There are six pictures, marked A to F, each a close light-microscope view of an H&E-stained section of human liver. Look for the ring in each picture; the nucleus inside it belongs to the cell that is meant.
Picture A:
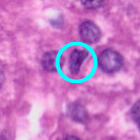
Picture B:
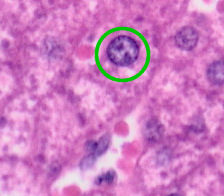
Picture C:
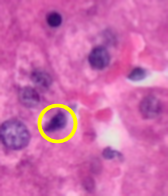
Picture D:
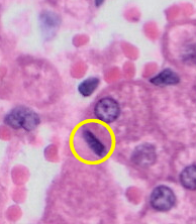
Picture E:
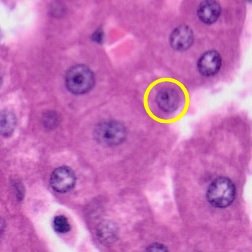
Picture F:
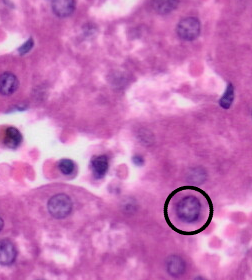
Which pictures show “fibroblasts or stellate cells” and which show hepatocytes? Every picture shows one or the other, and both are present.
A: fibroblast or stellate cell
B: hepatocyte
C: fibroblast or stellate cell
D: fibroblast or stellate cell
E: hepatocyte
F: hepatocyte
